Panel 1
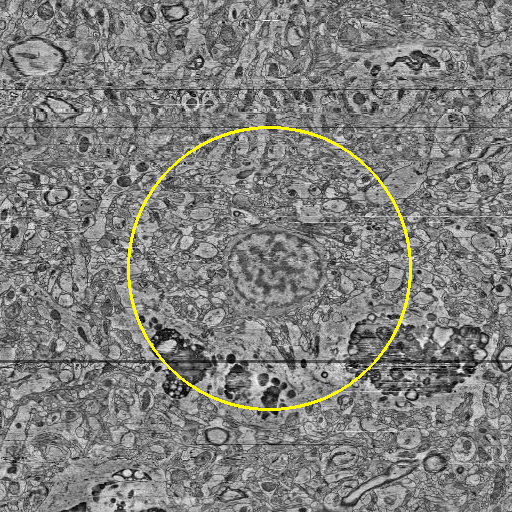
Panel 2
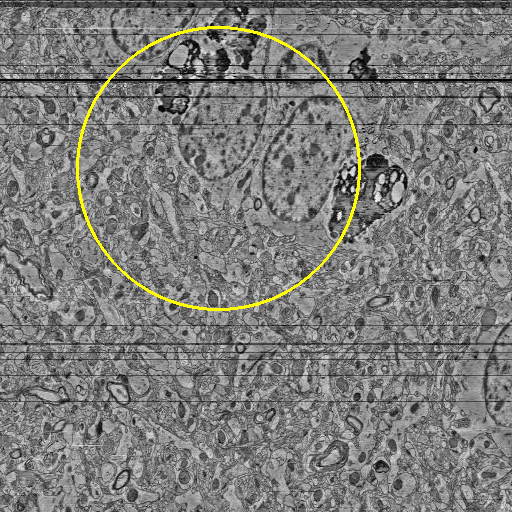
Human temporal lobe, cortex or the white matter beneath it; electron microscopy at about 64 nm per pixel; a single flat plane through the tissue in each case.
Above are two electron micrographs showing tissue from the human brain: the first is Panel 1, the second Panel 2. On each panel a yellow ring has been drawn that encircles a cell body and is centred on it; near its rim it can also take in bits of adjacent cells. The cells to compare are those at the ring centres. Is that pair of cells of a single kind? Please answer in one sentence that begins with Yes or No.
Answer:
No, the ring-centred cells of Panel 1 and Panel 2 belong to two kinds.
